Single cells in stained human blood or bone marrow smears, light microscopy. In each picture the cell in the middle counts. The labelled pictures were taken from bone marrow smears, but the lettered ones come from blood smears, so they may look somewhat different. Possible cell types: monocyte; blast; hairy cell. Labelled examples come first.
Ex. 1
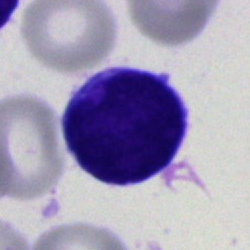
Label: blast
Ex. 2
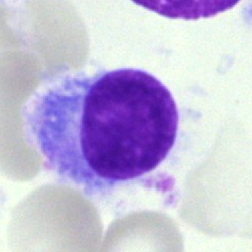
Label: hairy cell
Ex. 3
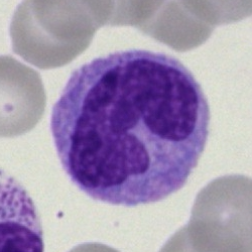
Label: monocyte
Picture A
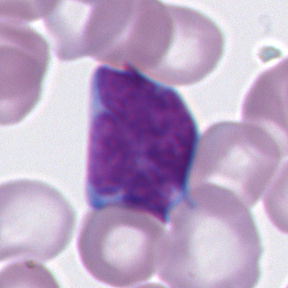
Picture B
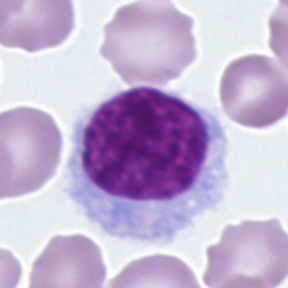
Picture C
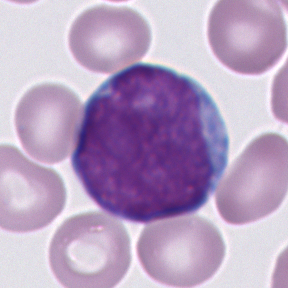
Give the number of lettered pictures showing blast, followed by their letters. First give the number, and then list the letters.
2, namely A, C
